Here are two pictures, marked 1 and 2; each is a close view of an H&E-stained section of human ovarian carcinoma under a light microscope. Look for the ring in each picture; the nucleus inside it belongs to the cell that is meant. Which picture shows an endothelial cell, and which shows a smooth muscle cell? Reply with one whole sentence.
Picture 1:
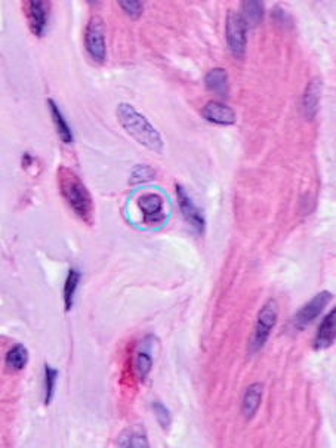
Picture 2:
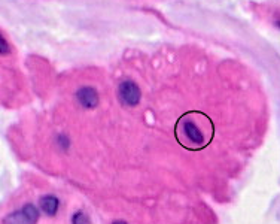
Picture 1 is of an endothelial cell, and picture 2 is of a smooth muscle cell.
